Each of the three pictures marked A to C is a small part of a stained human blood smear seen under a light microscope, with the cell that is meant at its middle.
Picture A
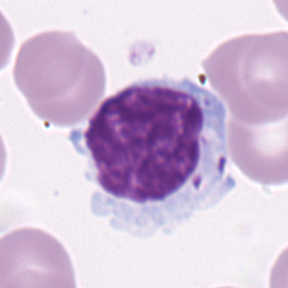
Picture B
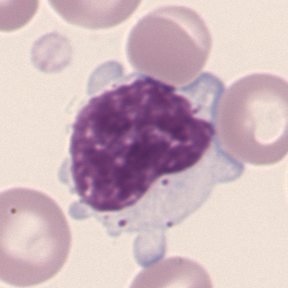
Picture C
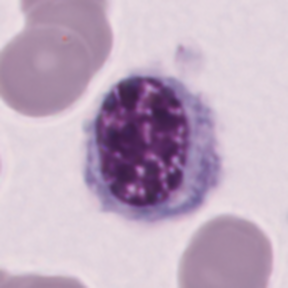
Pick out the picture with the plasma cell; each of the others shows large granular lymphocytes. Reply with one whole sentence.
The plasma cell is the one in picture C.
